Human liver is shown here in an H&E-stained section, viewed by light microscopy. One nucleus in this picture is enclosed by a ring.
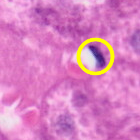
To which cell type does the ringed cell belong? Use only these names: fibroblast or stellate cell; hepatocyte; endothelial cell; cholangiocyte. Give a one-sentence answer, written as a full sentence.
As far as its identity is concerned, the ringed cell is an endothelial cell.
